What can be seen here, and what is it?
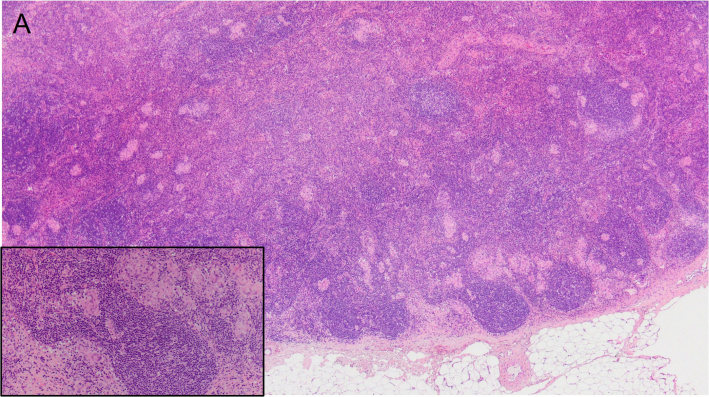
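This is a lymph node at low power, its dark blue lymphoid tissue studded with many small pale pink rounded areas, which are granulomas without epithelioid character. Along the capsule at the lower edge lie a row of round, evenly dark blue lymphoid follicles without pale centres, and pale granulomas sit right beside them. Fat lies outside the thin capsule. In the inset at higher power the pale pink granulomas merge with one another, leaving strands and islands of densely packed small dark lymphocytes between them.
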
